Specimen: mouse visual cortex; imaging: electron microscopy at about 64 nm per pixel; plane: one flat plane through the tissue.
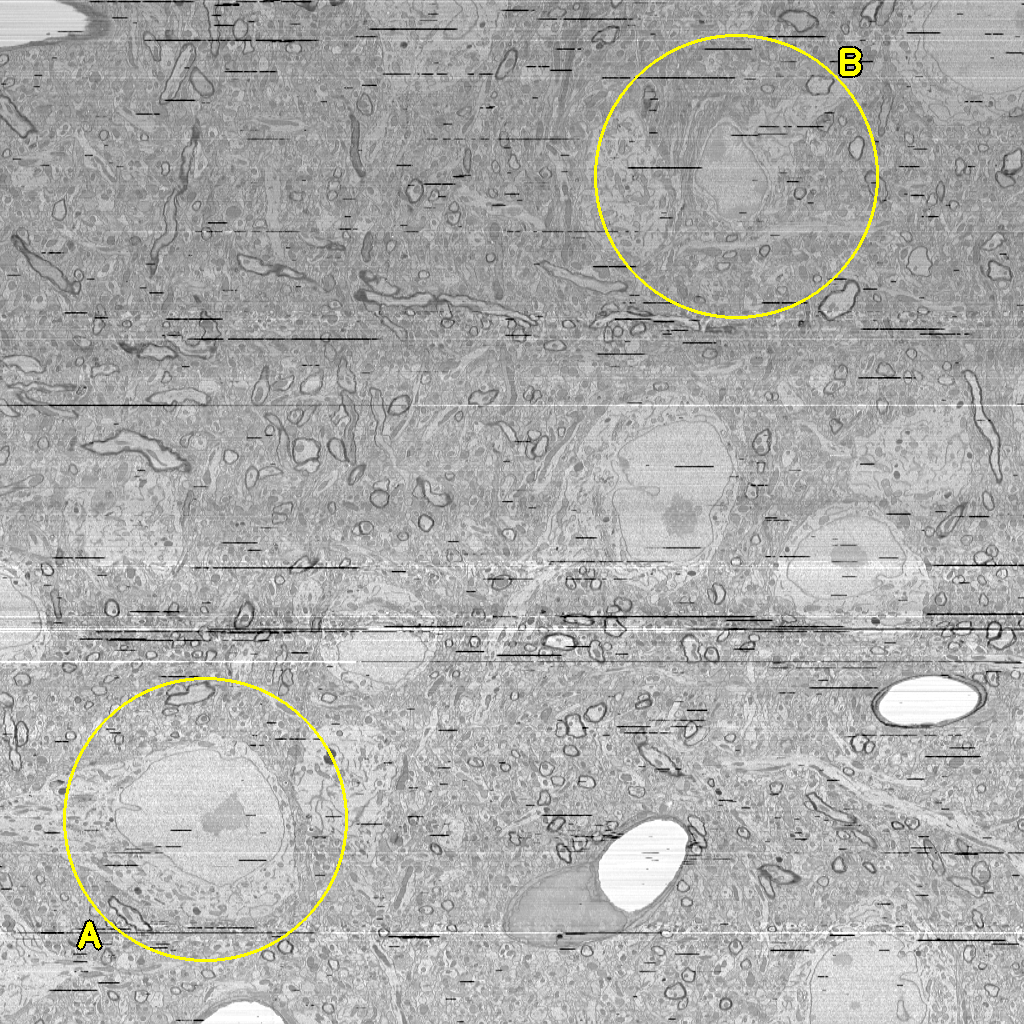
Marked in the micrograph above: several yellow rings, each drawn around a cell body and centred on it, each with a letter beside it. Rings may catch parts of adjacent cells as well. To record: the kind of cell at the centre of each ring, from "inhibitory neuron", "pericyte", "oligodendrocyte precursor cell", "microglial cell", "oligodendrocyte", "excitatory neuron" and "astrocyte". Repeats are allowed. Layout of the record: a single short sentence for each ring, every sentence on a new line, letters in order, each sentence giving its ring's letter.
At the centre of ring A lies an excitatory neuron.
At the centre of ring B lies an oligodendrocyte precursor cell.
